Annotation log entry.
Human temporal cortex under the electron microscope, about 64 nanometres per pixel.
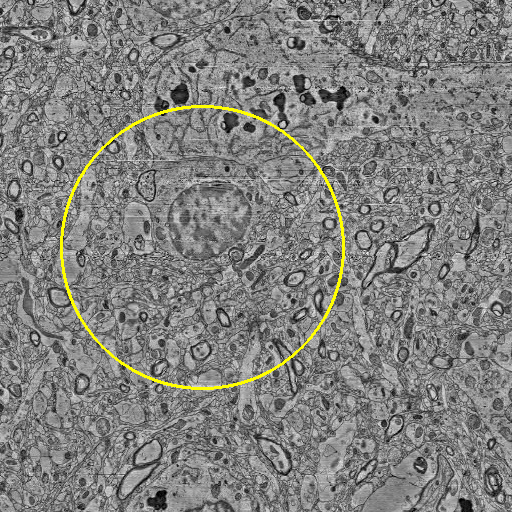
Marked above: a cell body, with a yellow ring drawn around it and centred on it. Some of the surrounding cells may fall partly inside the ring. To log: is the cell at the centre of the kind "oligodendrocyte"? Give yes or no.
Yes, the cell at the centre is of that kind.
